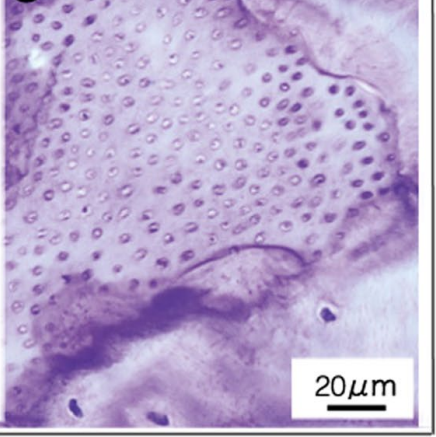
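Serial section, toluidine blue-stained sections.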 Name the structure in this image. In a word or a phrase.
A: Dentinal tubules.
